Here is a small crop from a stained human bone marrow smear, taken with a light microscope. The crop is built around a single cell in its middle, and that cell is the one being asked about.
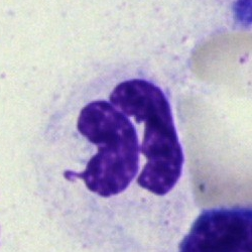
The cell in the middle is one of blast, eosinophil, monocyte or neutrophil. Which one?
neutrophil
